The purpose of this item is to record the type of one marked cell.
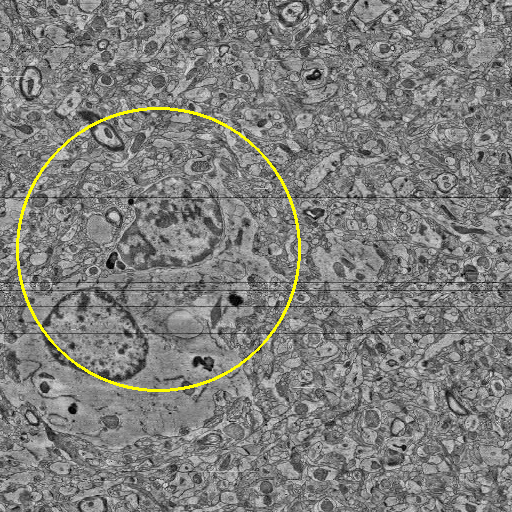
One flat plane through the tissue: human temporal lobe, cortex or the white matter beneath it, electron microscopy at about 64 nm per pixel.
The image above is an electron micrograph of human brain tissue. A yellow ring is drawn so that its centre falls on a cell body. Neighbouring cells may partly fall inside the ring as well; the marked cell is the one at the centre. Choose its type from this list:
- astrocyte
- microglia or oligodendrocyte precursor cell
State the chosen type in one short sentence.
What the ring marks here is a microglial cell or oligodendrocyte precursor cell.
